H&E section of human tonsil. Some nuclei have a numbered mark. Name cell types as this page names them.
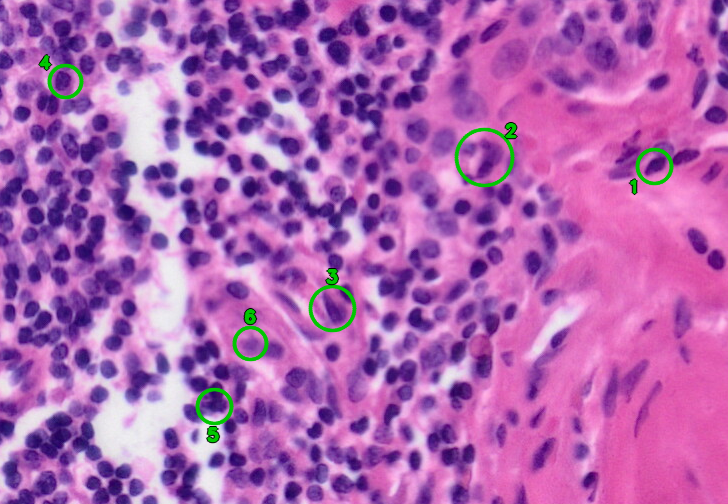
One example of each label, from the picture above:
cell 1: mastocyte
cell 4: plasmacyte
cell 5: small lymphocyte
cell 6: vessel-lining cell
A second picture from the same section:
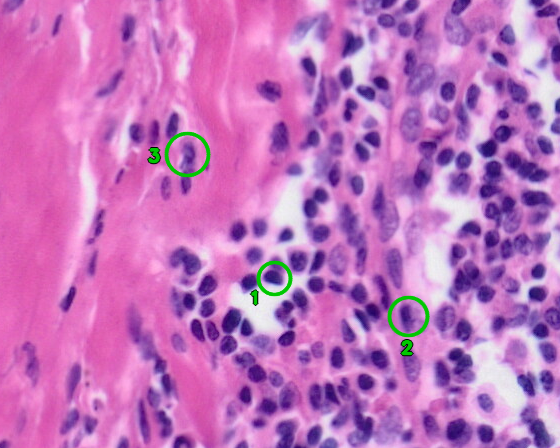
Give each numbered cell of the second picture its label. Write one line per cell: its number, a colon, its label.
1: small lymphocyte
2: vessel-lining cell
3: mastocyte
